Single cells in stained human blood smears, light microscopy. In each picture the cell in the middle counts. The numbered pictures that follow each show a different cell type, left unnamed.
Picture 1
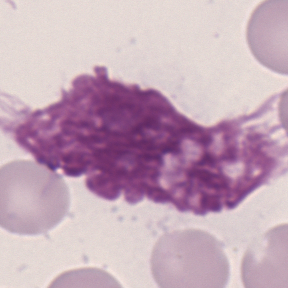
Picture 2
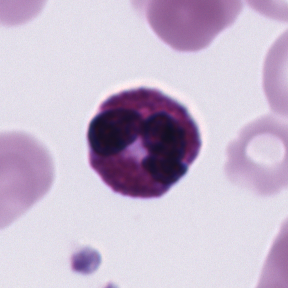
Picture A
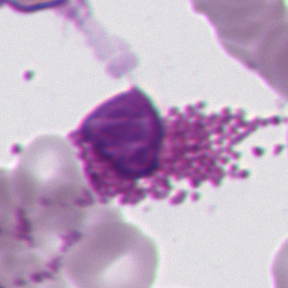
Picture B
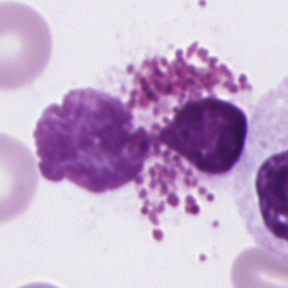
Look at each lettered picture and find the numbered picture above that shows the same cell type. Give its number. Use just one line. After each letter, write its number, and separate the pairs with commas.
A 2, B 2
